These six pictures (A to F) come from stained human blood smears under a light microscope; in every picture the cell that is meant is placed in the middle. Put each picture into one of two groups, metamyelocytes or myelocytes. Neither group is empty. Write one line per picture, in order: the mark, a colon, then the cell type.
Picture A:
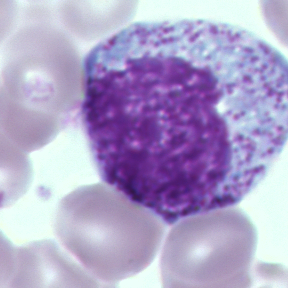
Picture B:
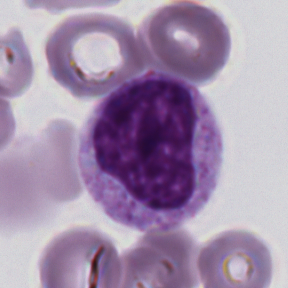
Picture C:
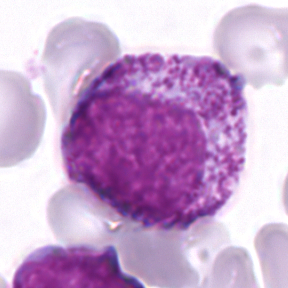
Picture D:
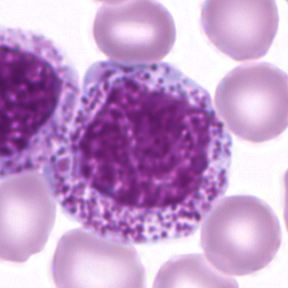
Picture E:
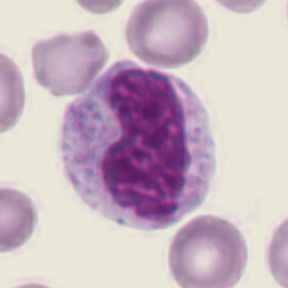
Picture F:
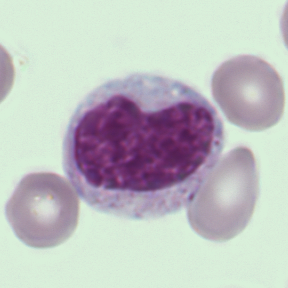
A: myelocyte
B: metamyelocyte
C: myelocyte
D: myelocyte
E: metamyelocyte
F: metamyelocyte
